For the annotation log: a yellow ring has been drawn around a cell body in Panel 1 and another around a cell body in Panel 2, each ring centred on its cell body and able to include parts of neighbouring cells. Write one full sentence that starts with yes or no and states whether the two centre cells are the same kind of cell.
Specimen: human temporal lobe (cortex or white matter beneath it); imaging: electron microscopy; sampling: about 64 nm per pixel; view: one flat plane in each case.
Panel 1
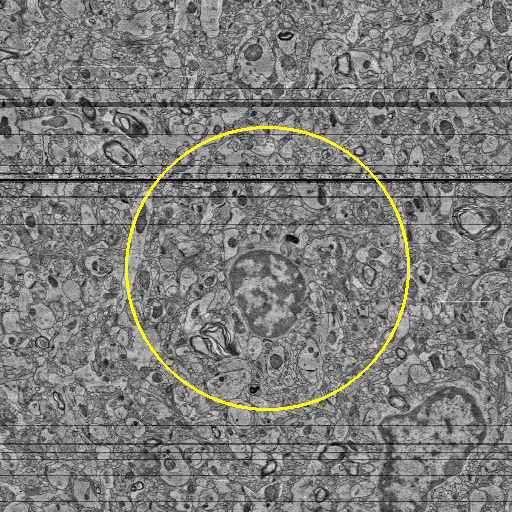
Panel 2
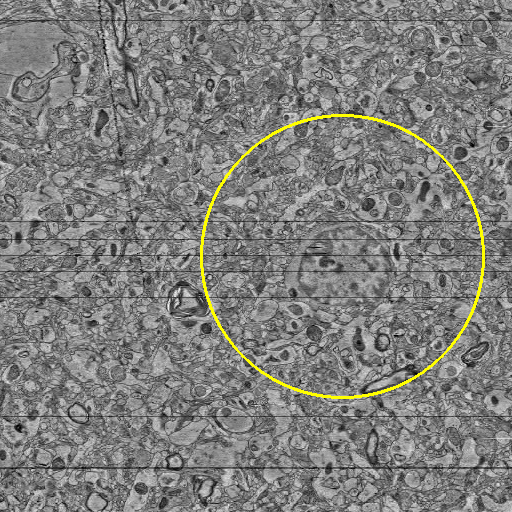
Yes, the two centre cells are the same kind of cell.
